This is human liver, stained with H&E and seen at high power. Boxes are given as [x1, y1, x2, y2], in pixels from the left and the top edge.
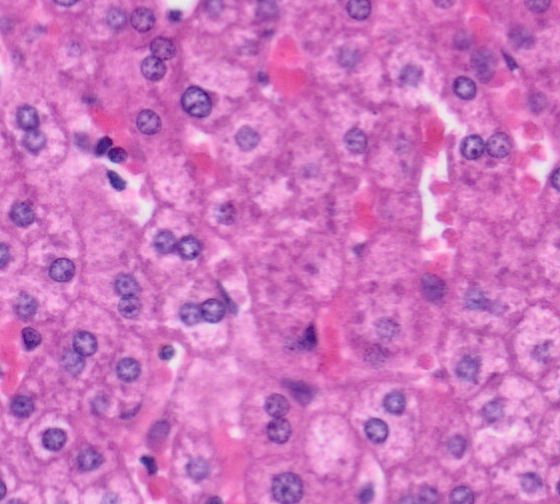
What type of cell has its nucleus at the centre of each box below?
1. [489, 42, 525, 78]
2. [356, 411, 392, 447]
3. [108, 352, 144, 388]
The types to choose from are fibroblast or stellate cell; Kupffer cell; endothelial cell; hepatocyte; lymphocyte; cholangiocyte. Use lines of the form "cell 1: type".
cell 1: fibroblast or stellate cell
cell 2: hepatocyte
cell 3: hepatocyte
